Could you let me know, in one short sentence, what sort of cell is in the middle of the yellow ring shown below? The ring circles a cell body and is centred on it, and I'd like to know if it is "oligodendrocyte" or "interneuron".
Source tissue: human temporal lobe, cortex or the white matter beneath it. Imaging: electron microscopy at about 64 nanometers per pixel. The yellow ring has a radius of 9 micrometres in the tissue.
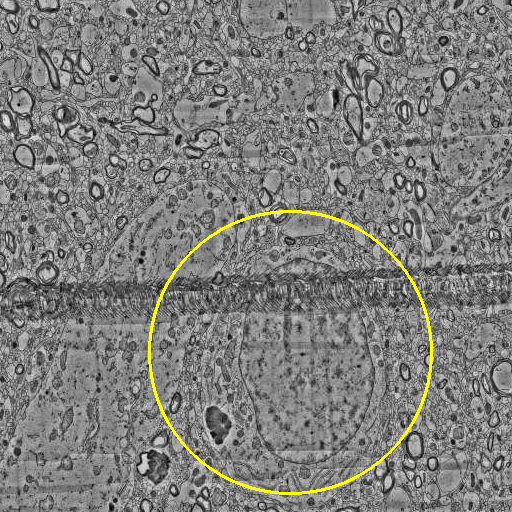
The ring circles the cell body of an interneuron.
